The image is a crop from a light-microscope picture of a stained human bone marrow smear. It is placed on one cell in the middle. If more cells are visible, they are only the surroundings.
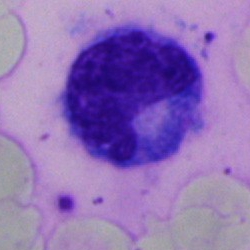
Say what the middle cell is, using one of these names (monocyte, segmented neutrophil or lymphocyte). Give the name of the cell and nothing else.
monocyte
